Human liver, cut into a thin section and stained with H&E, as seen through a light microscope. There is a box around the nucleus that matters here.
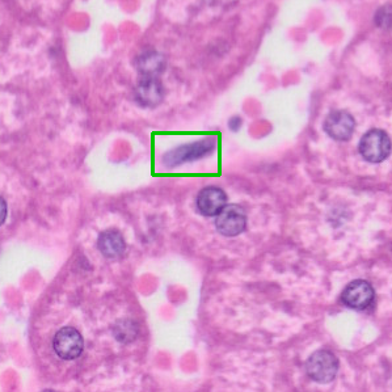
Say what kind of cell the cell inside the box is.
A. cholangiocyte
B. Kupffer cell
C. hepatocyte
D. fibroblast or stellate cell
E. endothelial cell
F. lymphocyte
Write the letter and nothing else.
B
